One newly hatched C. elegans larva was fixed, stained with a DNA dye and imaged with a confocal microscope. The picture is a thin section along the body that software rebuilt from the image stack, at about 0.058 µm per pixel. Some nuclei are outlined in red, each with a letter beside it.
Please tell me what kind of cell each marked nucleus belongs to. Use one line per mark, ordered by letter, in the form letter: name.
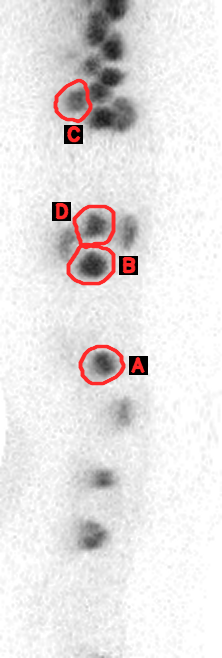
A: neuron
B: neuron
C: body wall muscle cell
D: neuron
